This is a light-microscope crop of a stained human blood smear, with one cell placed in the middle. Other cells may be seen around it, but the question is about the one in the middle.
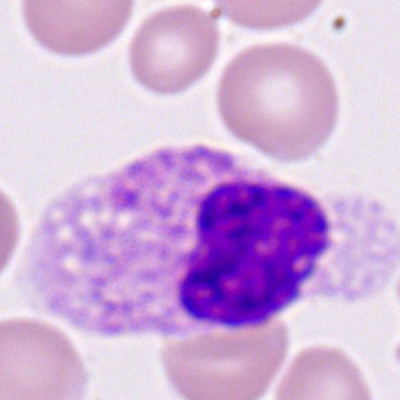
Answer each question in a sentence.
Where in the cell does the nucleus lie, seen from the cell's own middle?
The nucleus lies toward the right of the cell.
